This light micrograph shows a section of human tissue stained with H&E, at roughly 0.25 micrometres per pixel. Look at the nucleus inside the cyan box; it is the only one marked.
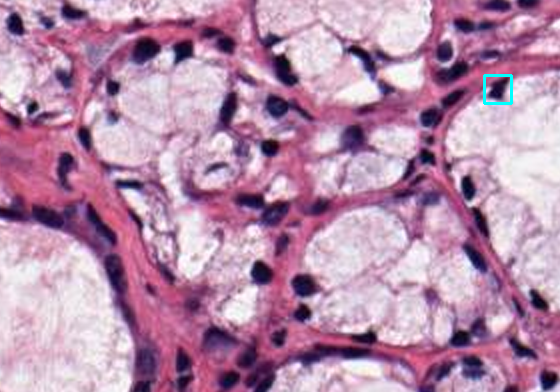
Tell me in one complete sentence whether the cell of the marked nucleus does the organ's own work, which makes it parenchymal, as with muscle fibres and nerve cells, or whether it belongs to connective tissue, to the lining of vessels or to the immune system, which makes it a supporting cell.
It is a parenchymal cell, namely a mucous gland cell, to which the marked nucleus belongs.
